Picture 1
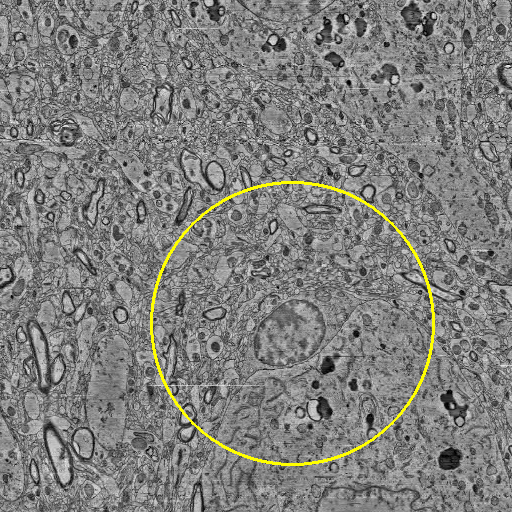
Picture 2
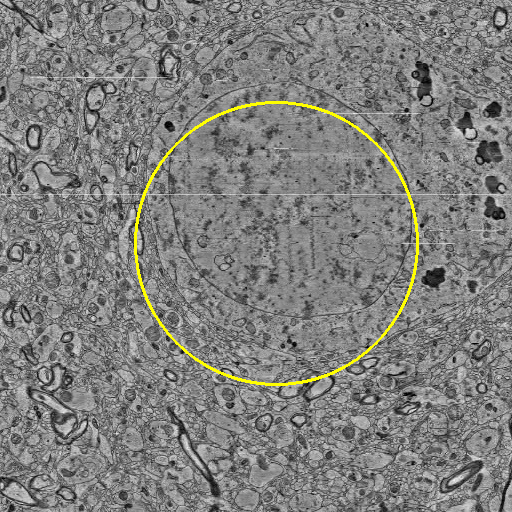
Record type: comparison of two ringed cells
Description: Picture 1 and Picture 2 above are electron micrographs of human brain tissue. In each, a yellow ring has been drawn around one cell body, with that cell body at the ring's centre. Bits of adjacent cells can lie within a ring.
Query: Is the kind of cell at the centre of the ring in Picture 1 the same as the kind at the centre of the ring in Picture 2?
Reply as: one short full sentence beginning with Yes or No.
No, the two ringed cells are of two separate kinds.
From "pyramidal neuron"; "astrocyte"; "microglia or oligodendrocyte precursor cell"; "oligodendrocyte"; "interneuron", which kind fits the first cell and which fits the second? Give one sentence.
The cell marked in the first picture is an oligodendrocyte, and the one marked in the second is a pyramidal neuron.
